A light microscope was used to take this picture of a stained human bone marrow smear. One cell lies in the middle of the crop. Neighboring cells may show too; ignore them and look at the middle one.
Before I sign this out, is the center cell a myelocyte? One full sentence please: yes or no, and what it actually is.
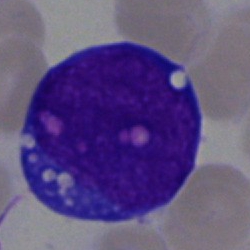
No, what sits in the centre of the crop is a blast rather than a myelocyte.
